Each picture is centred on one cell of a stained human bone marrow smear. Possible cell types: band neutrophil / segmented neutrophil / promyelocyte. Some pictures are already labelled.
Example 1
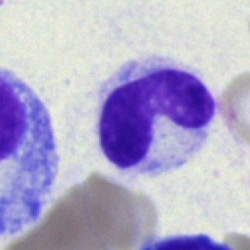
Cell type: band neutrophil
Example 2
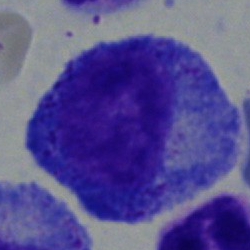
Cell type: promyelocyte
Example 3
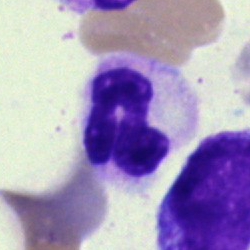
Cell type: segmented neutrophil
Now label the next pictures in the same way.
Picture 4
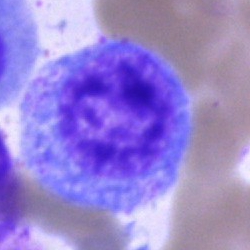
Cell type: promyelocyte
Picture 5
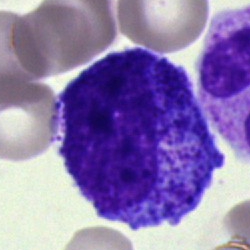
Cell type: promyelocyte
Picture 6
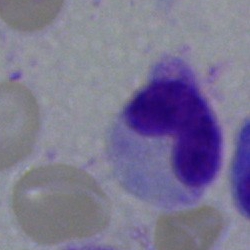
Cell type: band neutrophil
